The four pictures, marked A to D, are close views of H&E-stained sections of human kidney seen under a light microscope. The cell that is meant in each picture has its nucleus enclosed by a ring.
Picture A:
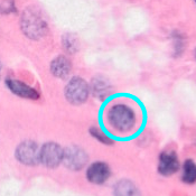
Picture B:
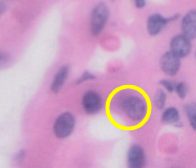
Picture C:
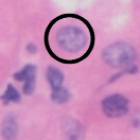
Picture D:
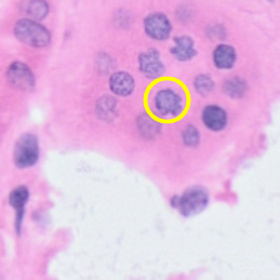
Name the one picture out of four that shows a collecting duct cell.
B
